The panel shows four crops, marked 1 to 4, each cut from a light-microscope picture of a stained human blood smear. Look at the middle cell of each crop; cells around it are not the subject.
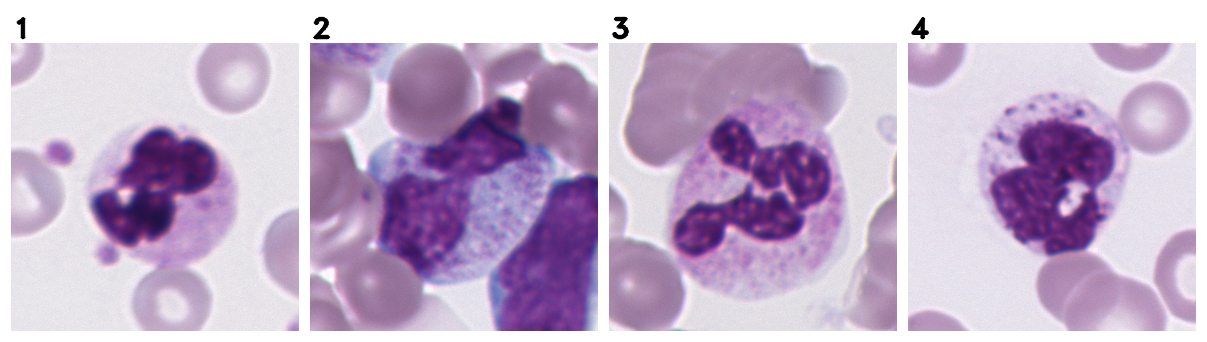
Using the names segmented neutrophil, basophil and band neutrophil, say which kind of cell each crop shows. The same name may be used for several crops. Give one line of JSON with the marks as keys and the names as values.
{"1": "segmented neutrophil", "2": "band neutrophil", "3": "segmented neutrophil", "4": "basophil"}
